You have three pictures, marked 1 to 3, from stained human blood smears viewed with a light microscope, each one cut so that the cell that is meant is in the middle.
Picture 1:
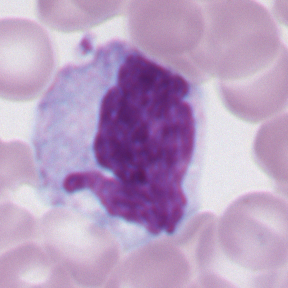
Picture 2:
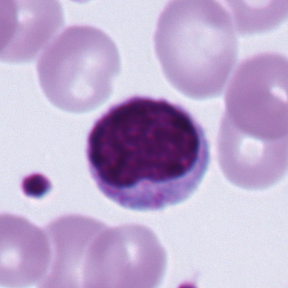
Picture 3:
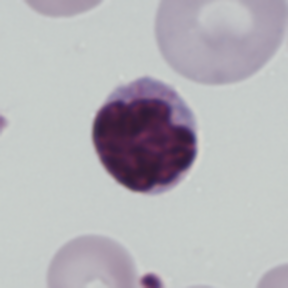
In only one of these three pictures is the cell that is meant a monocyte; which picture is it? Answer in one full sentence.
Picture 1 is the one that shows the monocyte.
